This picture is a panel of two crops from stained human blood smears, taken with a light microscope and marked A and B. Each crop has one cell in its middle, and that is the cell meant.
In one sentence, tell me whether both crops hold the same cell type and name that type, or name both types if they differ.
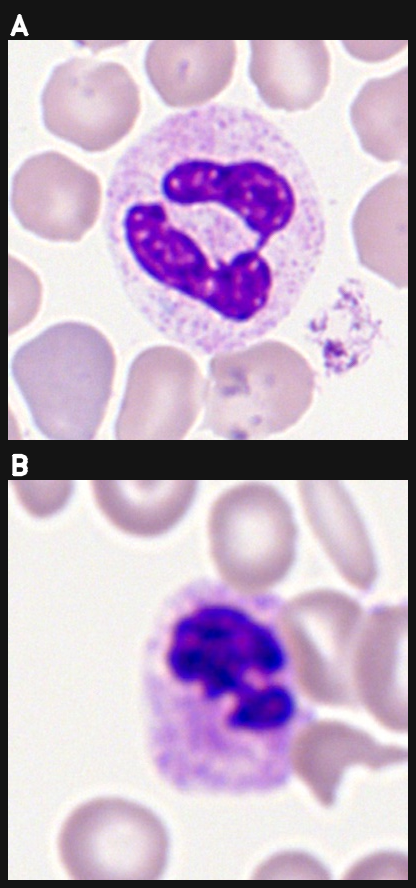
Yes, the cells that both crops show at the centre are segmented neutrophils.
